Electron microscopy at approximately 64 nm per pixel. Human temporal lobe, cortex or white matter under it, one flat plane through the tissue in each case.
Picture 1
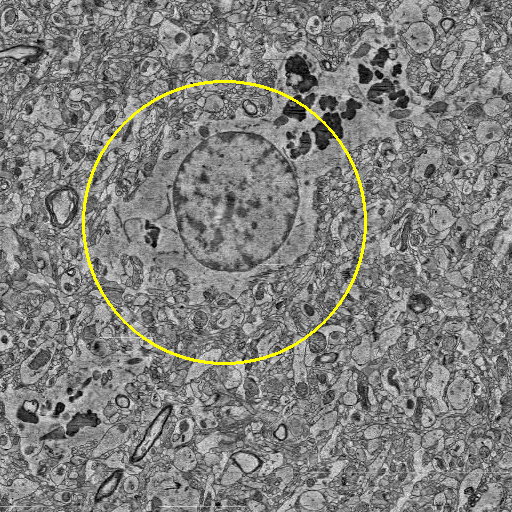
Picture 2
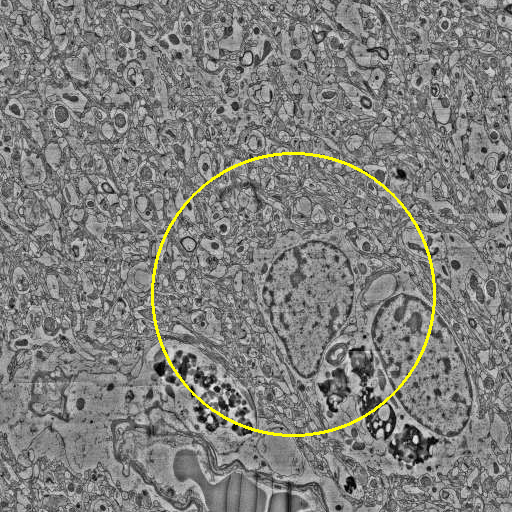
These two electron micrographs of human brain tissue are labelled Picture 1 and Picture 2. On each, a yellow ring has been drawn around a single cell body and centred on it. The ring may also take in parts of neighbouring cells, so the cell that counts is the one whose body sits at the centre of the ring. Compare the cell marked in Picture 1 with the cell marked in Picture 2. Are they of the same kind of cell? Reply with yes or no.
yes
